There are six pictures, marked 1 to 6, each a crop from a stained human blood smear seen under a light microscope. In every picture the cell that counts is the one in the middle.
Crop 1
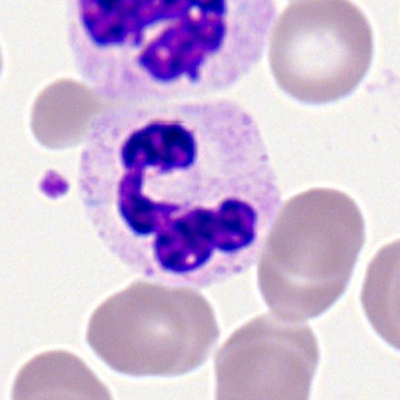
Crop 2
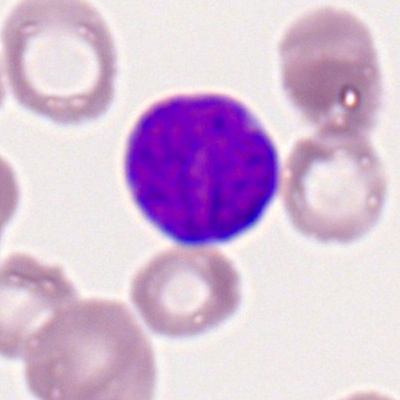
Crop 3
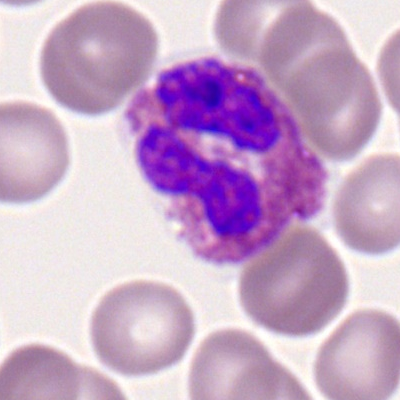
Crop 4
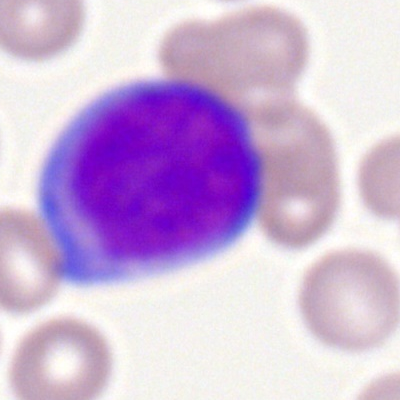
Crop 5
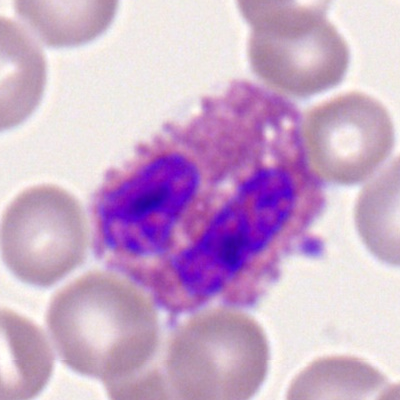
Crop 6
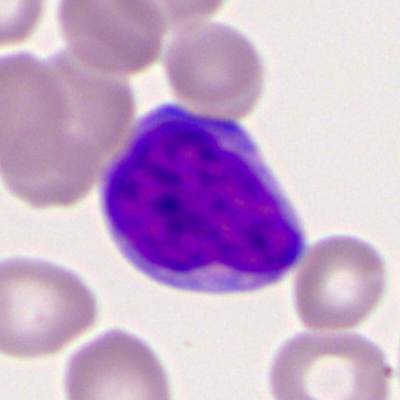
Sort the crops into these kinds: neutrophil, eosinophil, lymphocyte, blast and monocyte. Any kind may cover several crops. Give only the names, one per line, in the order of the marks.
neutrophil
blast
eosinophil
blast
eosinophil
blast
